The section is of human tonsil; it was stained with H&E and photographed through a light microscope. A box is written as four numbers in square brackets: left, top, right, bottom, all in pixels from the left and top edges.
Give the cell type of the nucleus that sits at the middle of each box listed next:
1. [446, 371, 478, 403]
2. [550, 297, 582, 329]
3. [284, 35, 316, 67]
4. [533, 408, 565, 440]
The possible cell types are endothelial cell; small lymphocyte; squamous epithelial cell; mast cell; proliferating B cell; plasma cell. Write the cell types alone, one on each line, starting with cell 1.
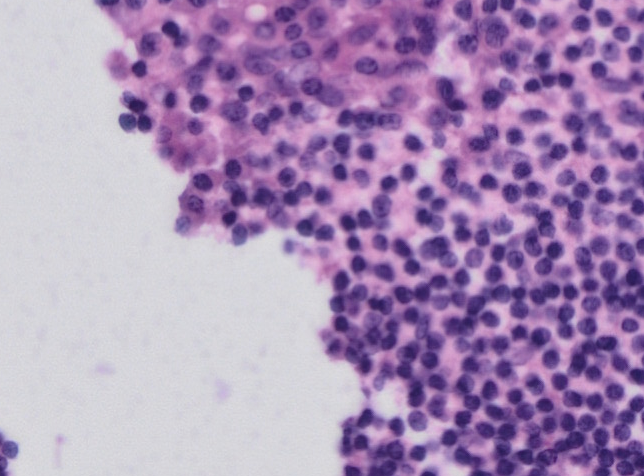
small lymphocyte
small lymphocyte
plasma cell
small lymphocyte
